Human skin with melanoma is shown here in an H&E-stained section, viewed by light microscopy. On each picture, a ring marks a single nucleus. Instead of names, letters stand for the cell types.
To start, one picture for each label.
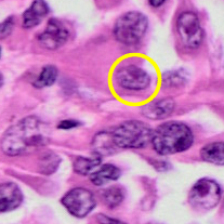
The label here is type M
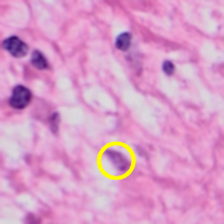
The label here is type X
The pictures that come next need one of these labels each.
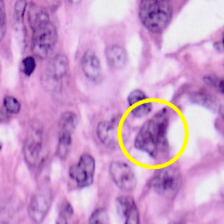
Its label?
type M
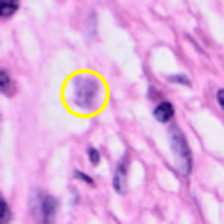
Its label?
type X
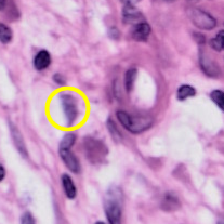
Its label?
type X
